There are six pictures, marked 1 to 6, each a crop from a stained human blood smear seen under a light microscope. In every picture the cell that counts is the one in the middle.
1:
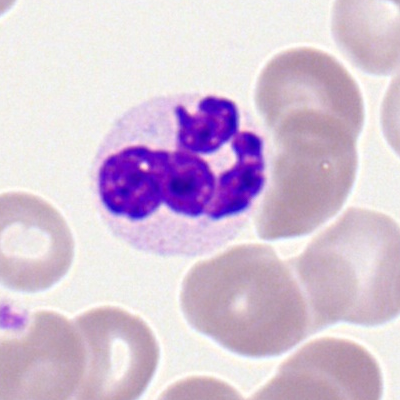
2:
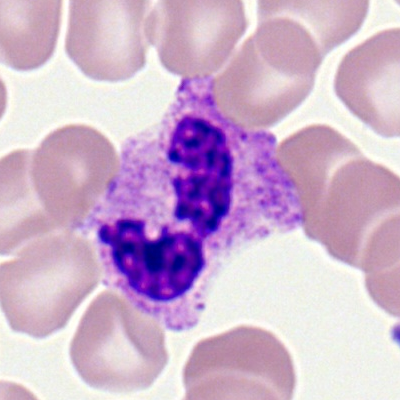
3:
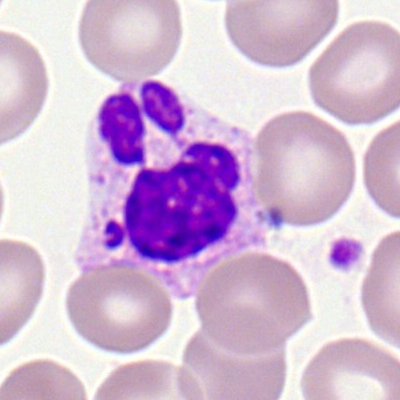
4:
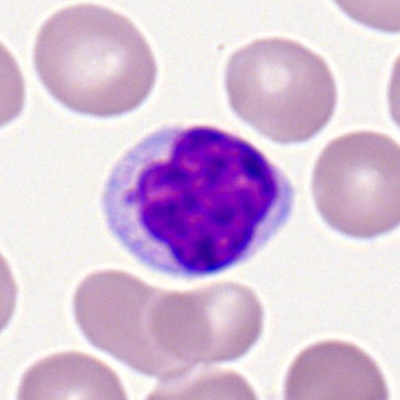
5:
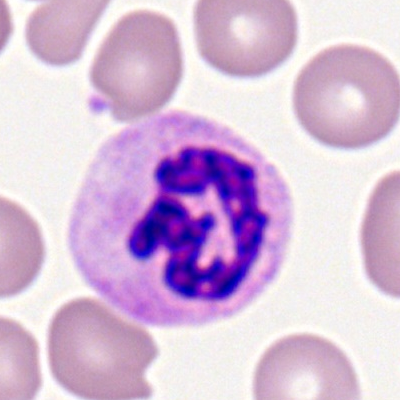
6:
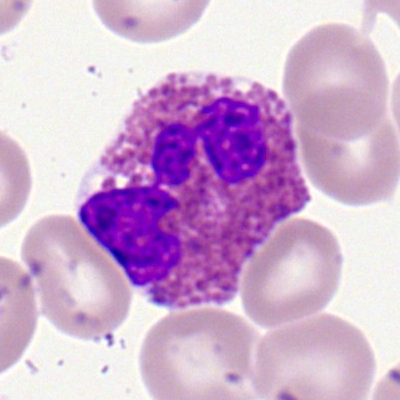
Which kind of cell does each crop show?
1: neutrophil
2: neutrophil
3: basophil
4: lymphocyte
5: neutrophil
6: eosinophil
